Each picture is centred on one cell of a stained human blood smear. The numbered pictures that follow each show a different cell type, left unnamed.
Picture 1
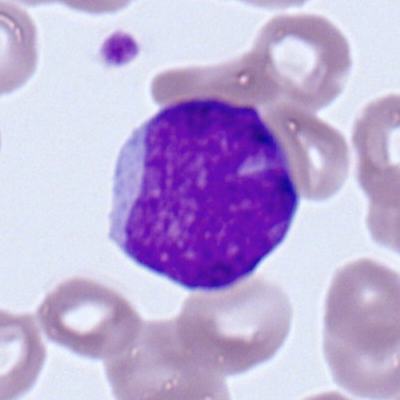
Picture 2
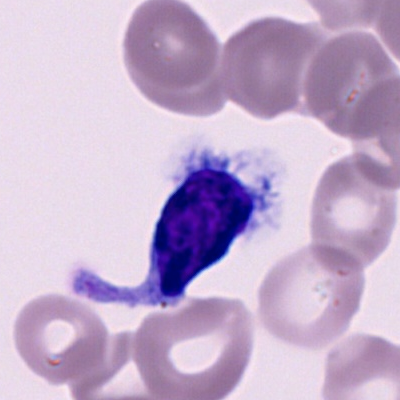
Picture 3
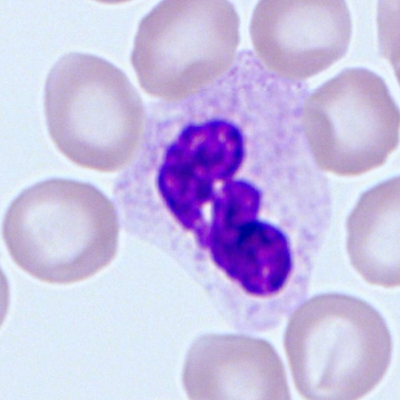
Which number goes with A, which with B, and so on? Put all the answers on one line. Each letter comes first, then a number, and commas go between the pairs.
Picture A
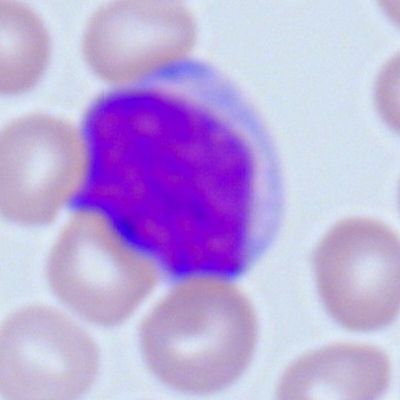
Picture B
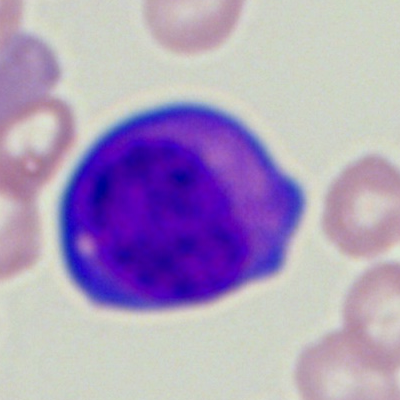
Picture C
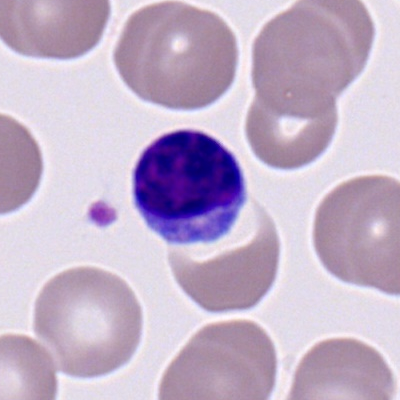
A 1, B 1, C 2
